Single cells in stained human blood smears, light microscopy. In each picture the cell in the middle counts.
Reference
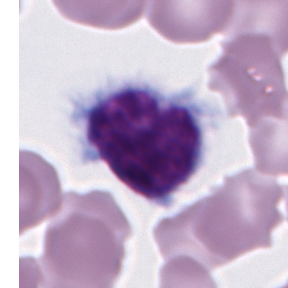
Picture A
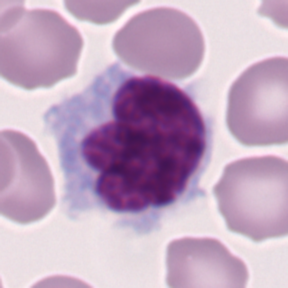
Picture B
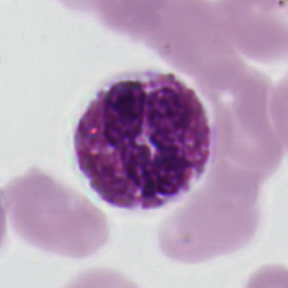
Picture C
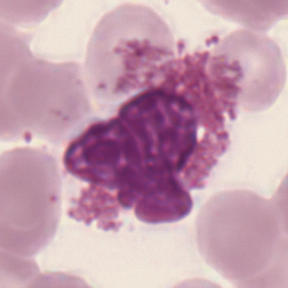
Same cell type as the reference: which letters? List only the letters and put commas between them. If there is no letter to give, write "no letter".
A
